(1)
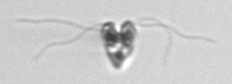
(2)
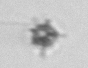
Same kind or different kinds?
Different: the first is Pyramimonas, the second Rhabdosphaera.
